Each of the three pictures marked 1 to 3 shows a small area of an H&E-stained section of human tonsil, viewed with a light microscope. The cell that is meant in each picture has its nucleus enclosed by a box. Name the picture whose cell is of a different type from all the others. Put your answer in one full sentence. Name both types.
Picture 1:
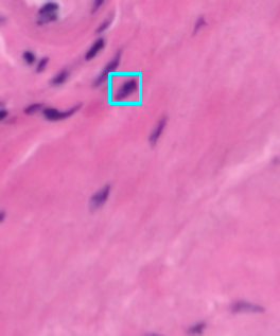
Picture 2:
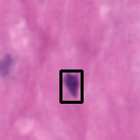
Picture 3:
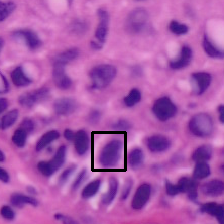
Unlike the rest, which show mast cells, picture 3 shows a squamous epithelial cell.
